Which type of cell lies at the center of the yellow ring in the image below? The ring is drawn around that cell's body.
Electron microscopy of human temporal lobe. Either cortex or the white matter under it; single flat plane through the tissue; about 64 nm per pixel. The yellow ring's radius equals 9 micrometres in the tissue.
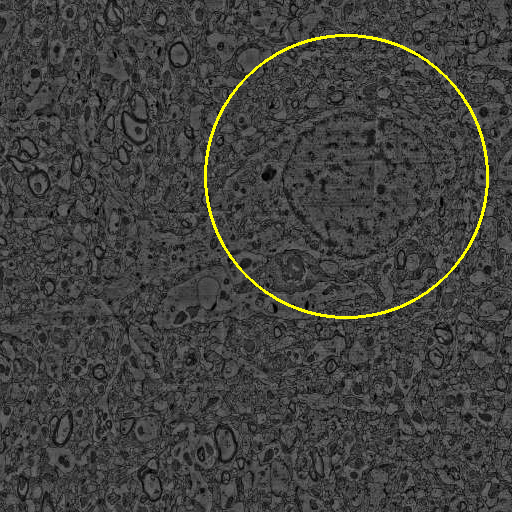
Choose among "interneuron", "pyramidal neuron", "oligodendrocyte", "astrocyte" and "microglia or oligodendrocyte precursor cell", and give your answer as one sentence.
The cell body at the center belongs to an interneuron.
